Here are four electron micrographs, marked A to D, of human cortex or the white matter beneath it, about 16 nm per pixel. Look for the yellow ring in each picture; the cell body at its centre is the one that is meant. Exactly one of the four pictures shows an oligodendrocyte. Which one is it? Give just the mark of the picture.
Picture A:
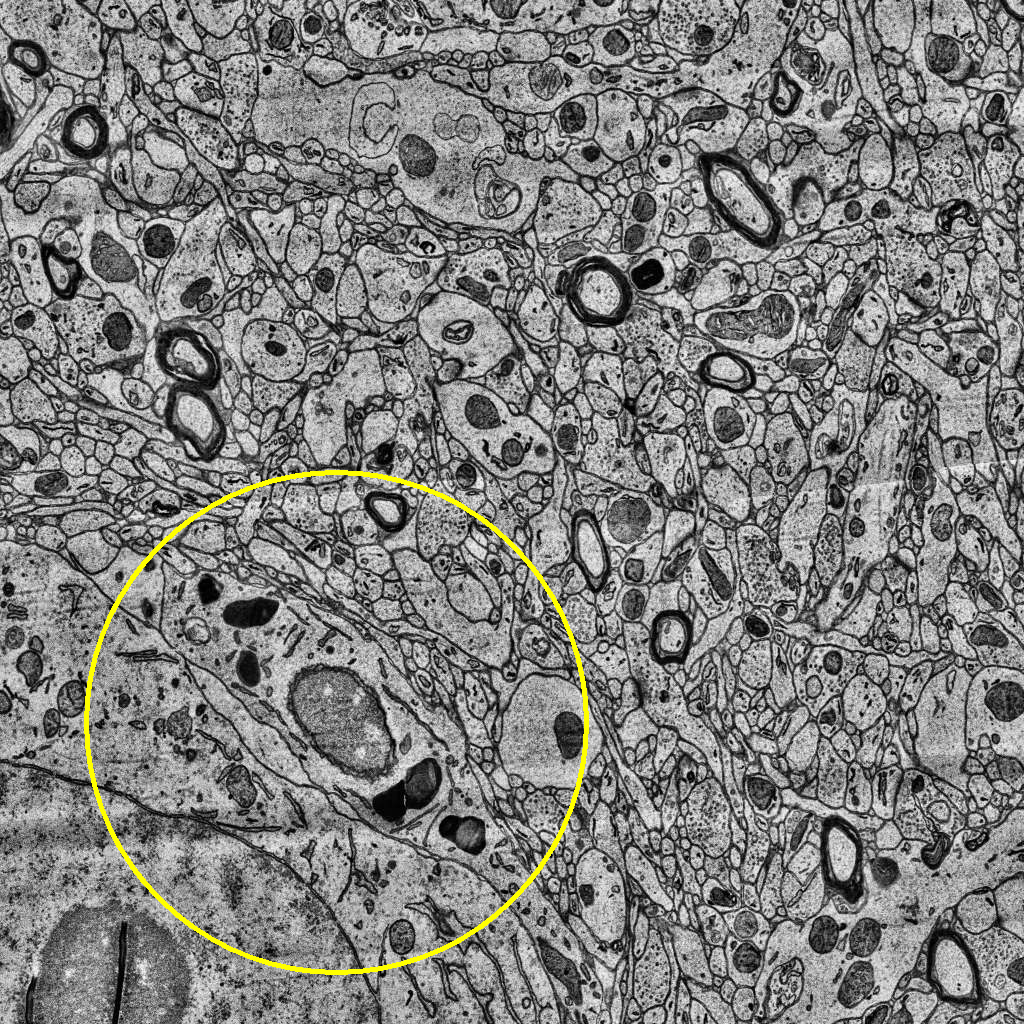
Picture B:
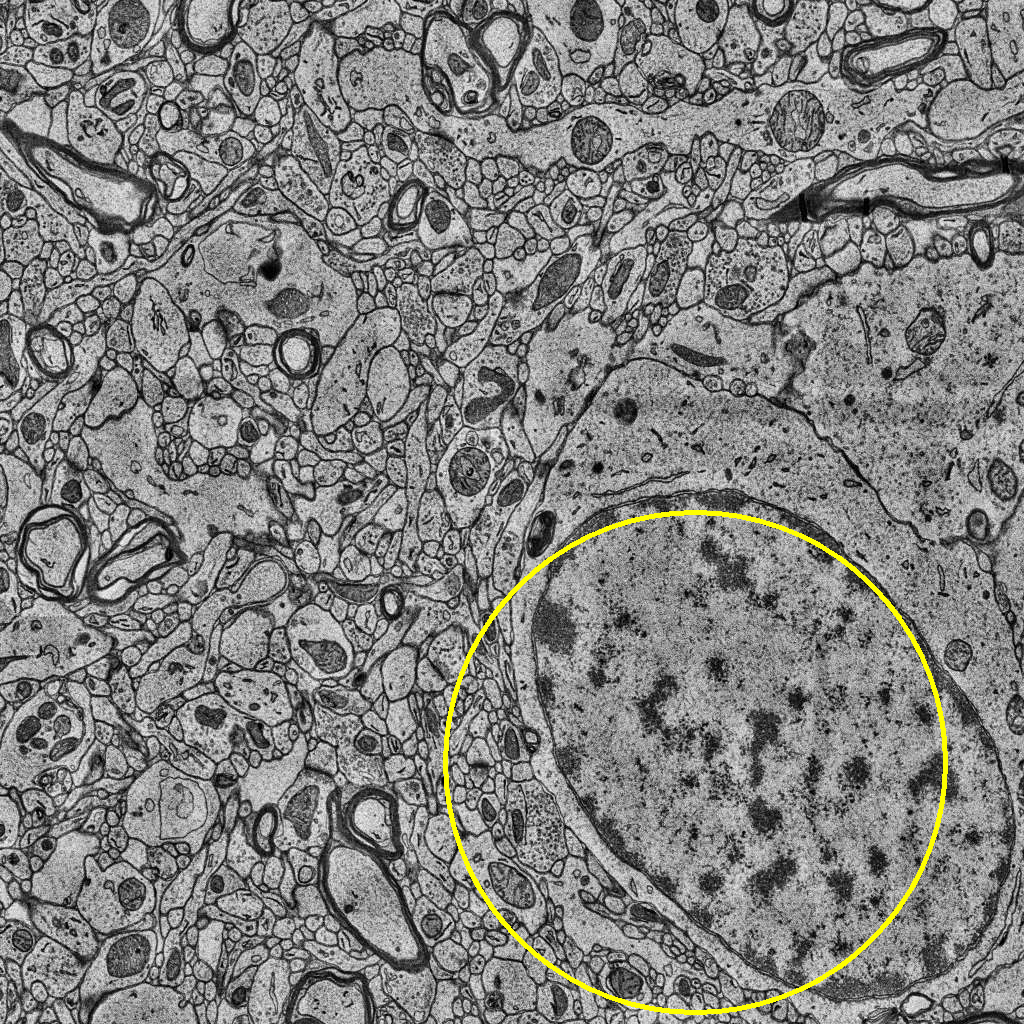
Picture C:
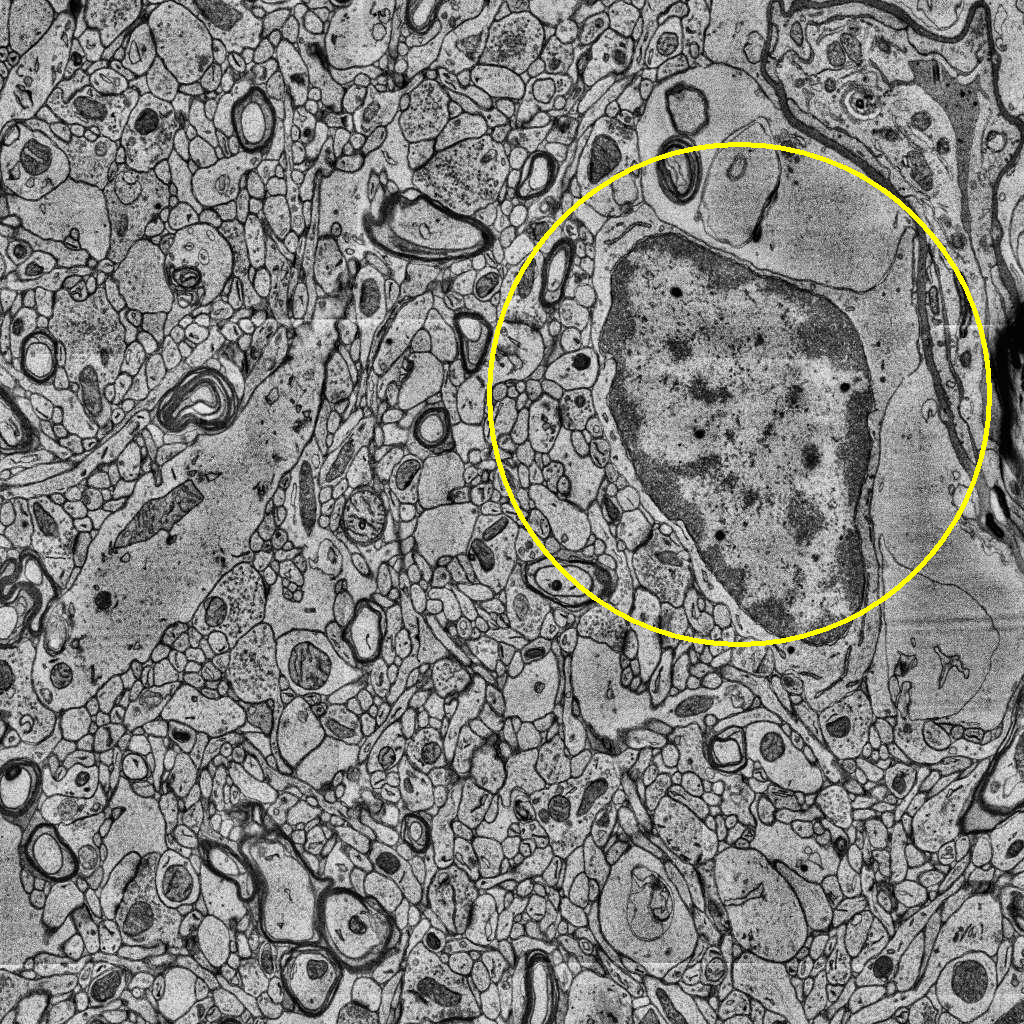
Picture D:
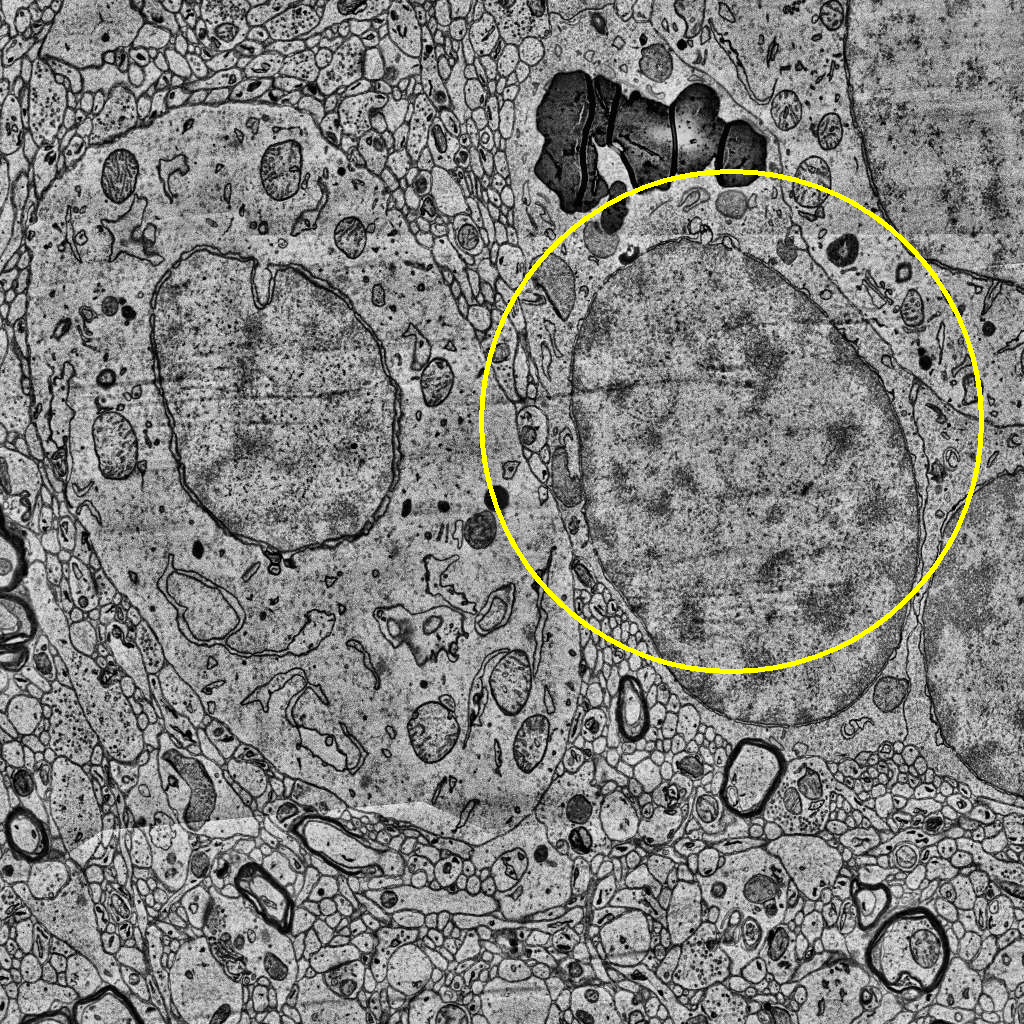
D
